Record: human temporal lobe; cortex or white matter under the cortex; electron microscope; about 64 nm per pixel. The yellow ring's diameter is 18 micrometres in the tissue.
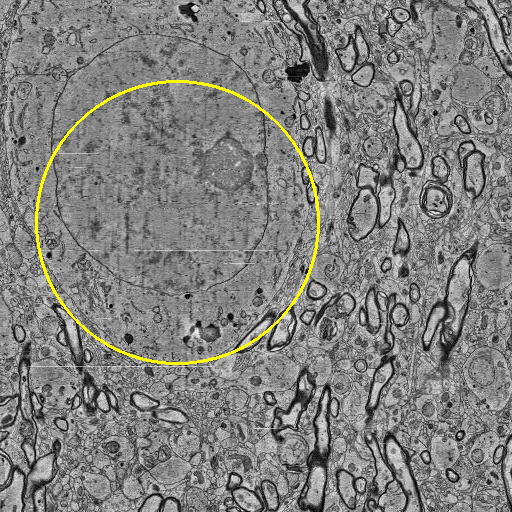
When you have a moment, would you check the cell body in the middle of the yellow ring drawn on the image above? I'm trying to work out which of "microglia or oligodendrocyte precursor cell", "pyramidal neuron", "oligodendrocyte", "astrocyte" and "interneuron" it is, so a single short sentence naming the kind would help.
This cell body belongs to a pyramidal neuron.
